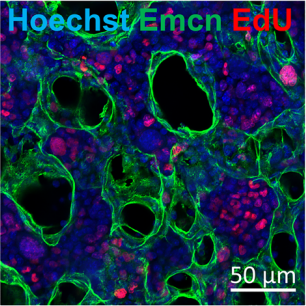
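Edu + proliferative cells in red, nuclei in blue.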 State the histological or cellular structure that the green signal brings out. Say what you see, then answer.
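Green outlines ring many empty, dark lumens of varying size. The green lines form thin walls around these lumens, between clusters of blue nuclei.
Answer: vessels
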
